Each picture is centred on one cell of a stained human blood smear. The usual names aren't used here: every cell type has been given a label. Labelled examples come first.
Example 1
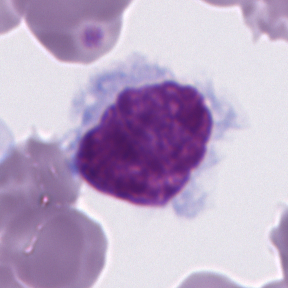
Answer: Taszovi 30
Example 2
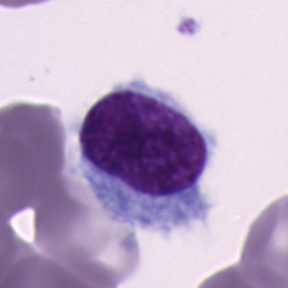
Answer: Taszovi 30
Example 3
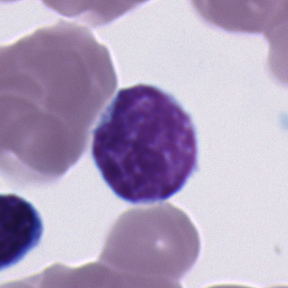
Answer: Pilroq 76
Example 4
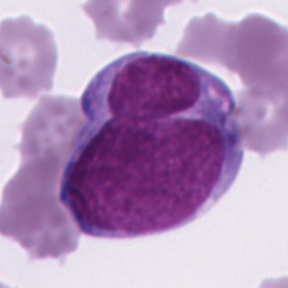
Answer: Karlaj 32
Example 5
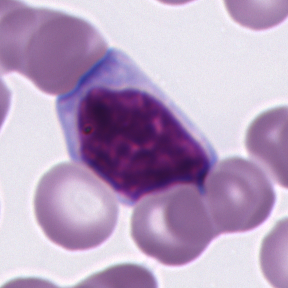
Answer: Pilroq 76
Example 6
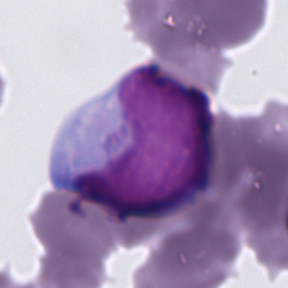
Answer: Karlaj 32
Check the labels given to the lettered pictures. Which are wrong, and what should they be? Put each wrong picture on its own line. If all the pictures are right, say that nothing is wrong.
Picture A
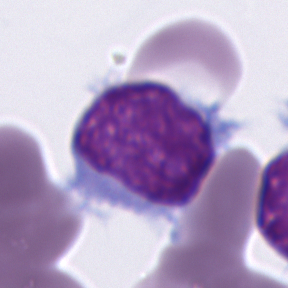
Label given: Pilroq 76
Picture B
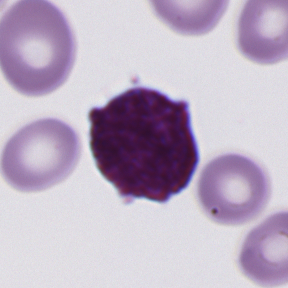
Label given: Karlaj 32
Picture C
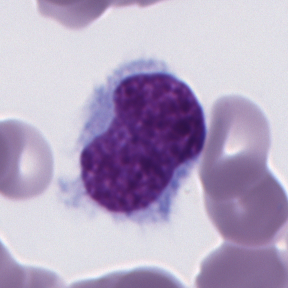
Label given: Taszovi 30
A: change Pilroq 76 to Taszovi 30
